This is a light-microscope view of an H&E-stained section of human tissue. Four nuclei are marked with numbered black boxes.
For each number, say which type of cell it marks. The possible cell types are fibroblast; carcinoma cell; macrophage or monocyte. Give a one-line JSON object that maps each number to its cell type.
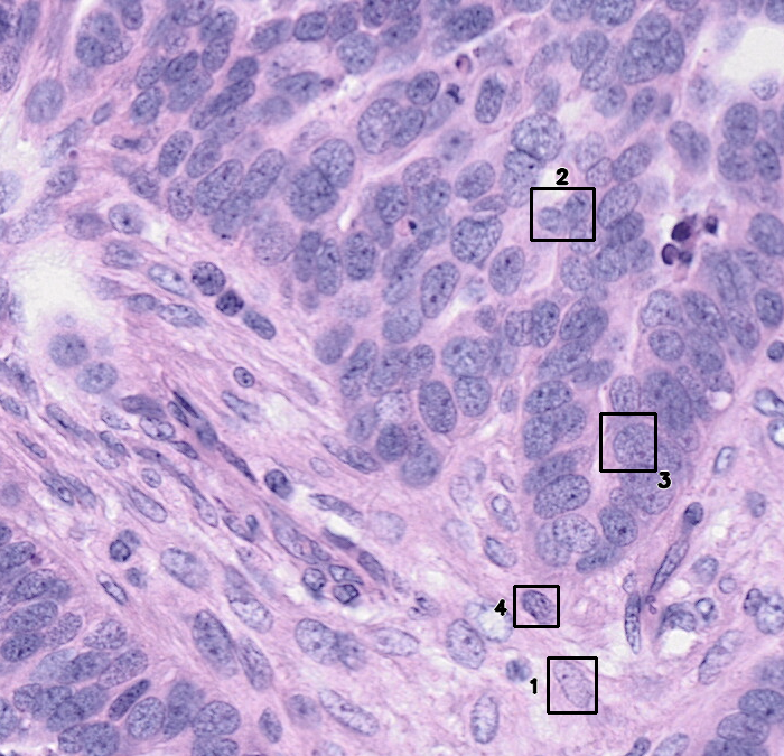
{"1": "fibroblast", "2": "carcinoma cell", "3": "carcinoma cell", "4": "macrophage or monocyte"}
